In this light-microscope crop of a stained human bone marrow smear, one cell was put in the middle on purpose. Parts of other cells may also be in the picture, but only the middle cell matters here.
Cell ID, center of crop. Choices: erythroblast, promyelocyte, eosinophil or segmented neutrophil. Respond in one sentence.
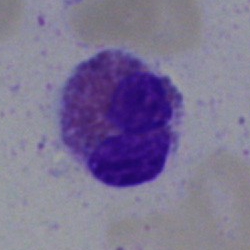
Here the cell in the middle is an eosinophil.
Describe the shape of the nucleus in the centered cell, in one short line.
The key feature is a nucleus with multiple lobes.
